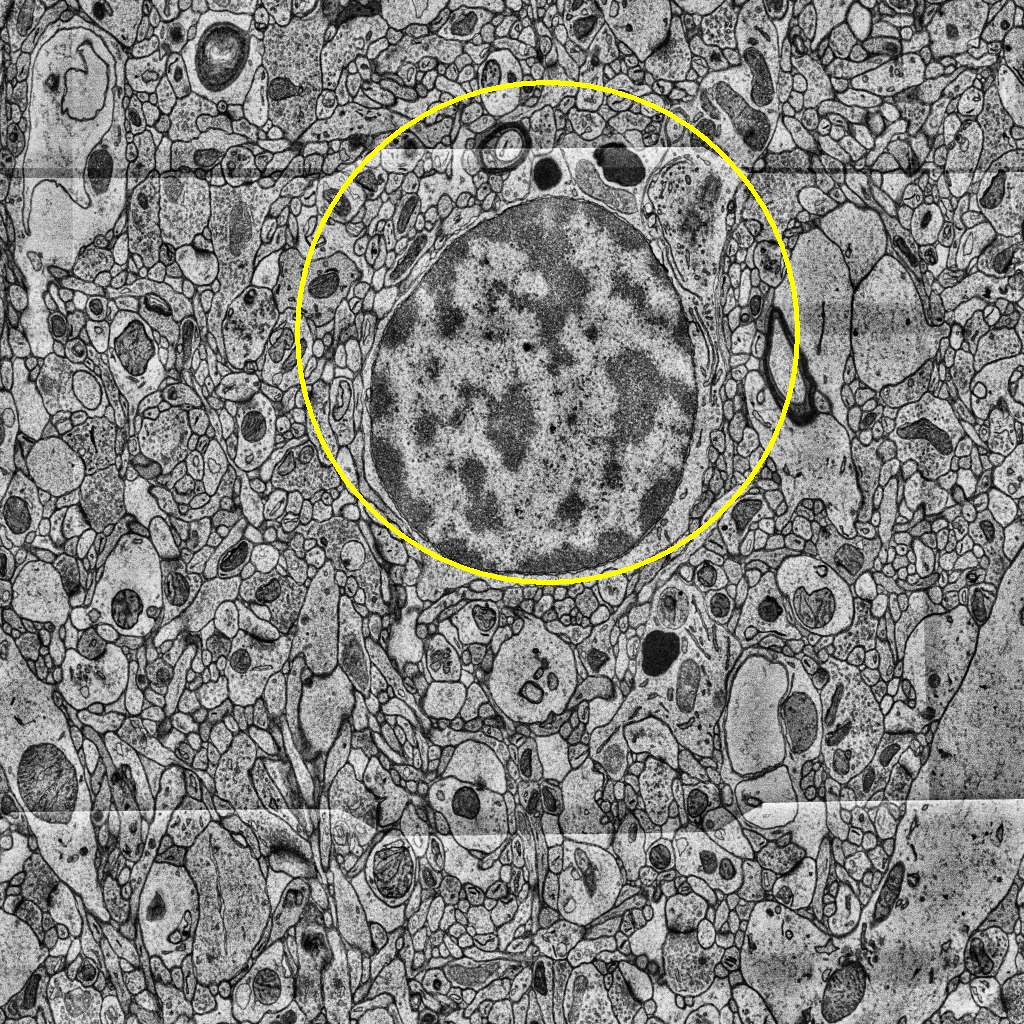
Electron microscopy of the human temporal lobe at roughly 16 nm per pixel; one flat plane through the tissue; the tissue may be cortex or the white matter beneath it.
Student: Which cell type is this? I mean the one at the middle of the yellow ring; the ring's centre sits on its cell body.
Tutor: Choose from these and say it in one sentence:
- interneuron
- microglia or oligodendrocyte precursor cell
The cell at the ring's centre is a microglial cell or oligodendrocyte precursor cell.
